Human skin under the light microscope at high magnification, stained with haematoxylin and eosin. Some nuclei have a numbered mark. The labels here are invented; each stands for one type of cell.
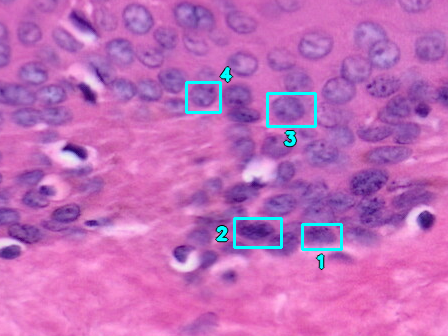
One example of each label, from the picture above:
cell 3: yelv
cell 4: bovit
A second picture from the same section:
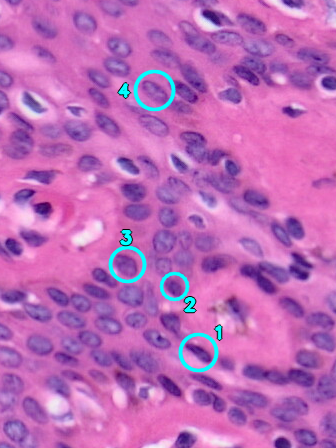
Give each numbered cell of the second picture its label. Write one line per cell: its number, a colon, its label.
1: bovit
2: bovit
3: bovit
4: yelv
